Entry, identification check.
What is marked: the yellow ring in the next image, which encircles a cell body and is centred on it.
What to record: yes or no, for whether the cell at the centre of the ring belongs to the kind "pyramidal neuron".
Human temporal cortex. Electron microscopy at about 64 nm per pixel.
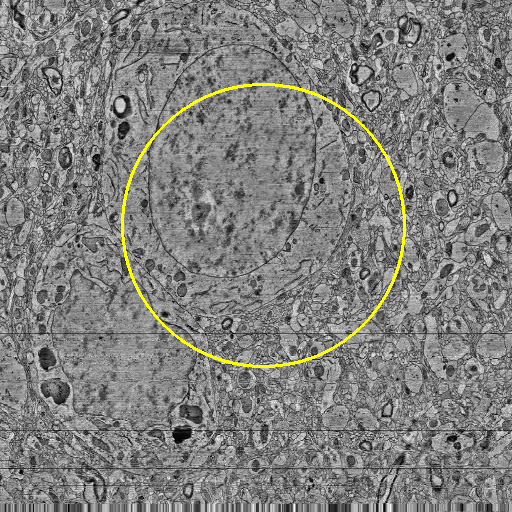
Yes, it belongs to that kind.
